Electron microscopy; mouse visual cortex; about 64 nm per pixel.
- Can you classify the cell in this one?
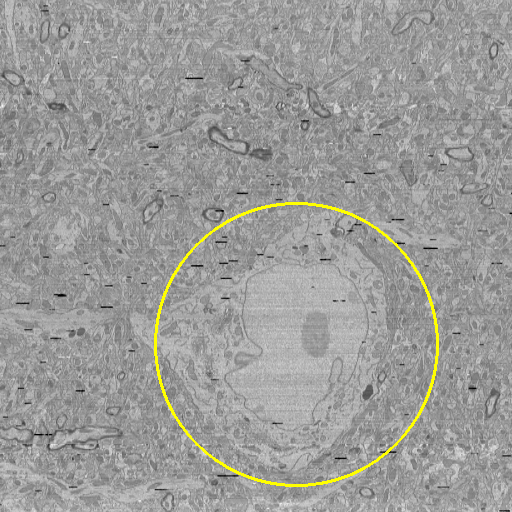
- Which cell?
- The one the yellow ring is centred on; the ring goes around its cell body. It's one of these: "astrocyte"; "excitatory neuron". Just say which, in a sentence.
The cell body in the ring belongs to an excitatory neuron.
